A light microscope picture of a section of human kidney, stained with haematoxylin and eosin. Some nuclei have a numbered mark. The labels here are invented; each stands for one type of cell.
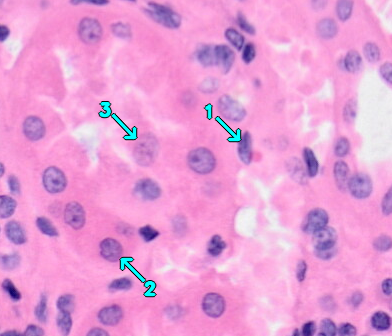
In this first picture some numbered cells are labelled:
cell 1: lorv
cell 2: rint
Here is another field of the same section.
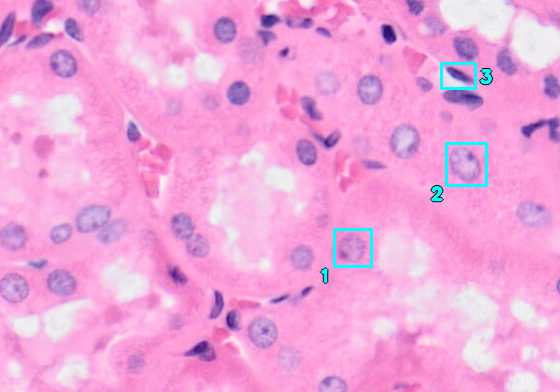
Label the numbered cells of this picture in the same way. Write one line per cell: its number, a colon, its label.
1: rint
2: rint
3: lorv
